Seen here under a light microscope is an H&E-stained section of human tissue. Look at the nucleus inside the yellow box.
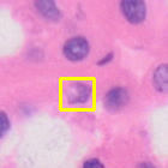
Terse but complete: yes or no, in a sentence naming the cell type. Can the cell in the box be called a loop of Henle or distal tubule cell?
Yes, the cell in the box qualifies as a loop of Henle or distal tubule cell in this section.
